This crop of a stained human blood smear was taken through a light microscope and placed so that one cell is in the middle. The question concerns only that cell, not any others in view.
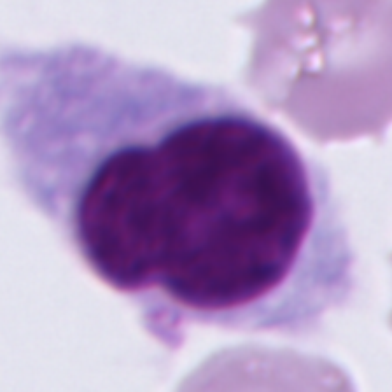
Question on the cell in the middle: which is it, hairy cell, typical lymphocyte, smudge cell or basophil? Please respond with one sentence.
In this crop, the cell at the very middle is a hairy cell.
